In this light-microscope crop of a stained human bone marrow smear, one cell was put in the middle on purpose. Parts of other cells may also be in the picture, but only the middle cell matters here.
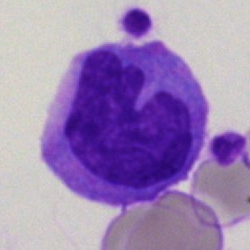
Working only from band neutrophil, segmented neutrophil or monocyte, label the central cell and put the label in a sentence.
At the center of the crop sits a monocyte.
